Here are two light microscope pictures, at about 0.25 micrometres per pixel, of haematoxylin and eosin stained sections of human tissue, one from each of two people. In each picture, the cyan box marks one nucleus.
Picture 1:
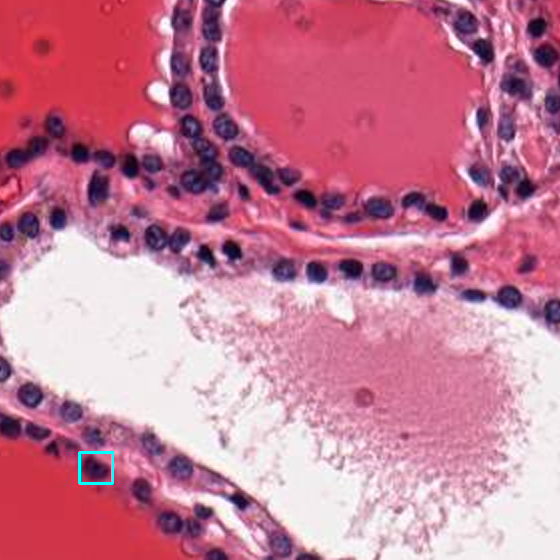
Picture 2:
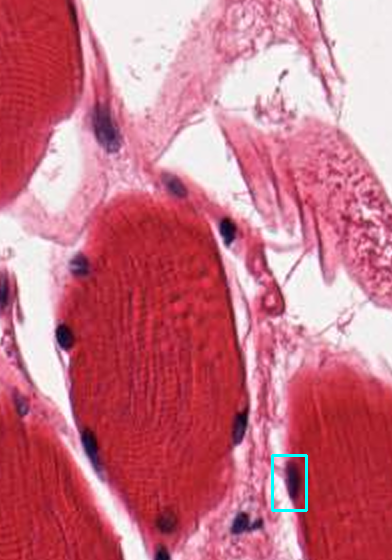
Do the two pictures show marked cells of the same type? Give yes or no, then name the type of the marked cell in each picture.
No, the first is a thyroid follicular cell and the second a skeletal muscle fibre.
